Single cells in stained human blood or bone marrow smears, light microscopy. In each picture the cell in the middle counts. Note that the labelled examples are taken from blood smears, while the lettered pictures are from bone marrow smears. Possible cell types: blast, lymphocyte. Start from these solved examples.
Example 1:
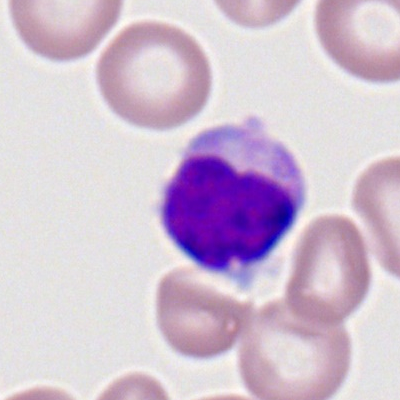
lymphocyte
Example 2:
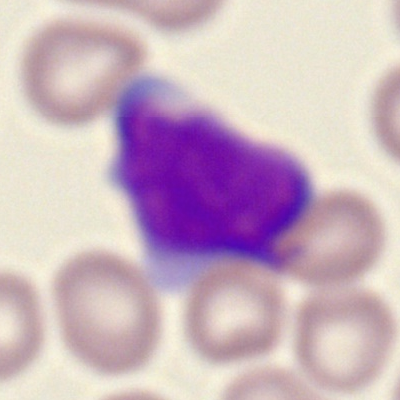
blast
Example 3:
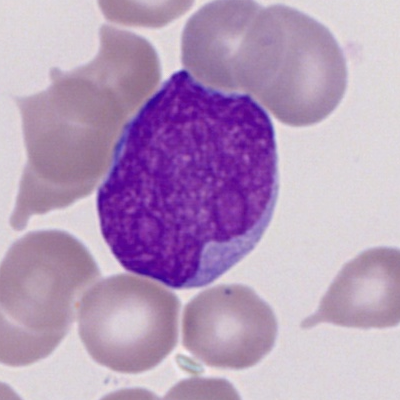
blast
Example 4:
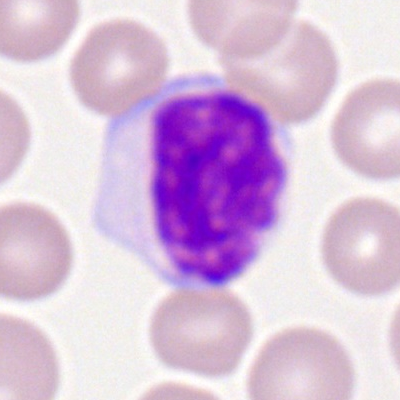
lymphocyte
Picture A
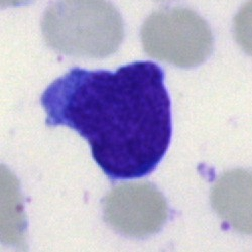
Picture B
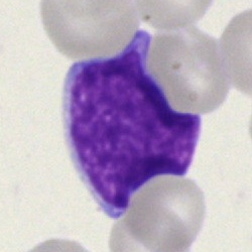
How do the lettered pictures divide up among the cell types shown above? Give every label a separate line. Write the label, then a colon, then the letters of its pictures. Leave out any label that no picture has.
blast: A, B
